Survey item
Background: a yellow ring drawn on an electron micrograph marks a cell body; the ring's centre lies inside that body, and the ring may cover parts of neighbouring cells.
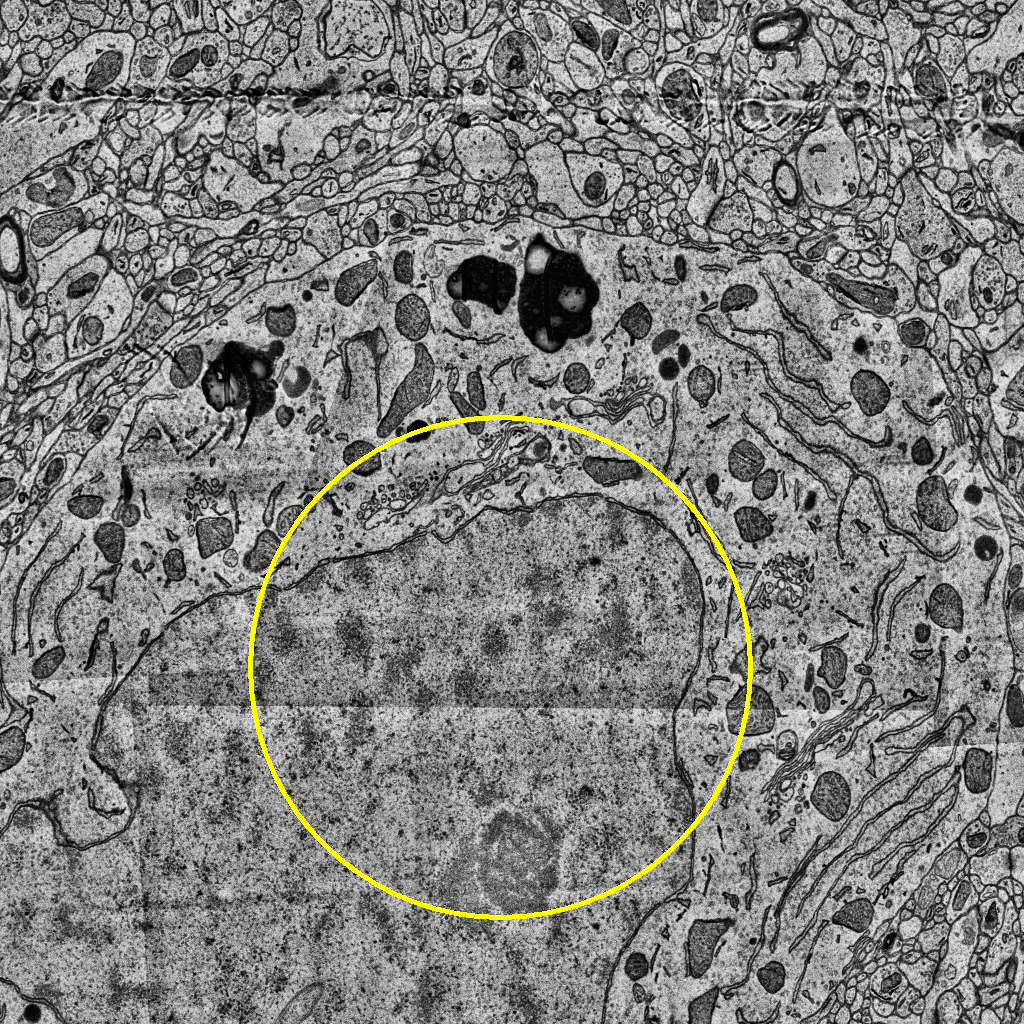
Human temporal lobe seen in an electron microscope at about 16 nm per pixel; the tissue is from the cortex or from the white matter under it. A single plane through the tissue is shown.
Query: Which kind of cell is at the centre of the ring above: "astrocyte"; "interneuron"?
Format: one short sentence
The cell in the middle of the ring is an interneuron.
